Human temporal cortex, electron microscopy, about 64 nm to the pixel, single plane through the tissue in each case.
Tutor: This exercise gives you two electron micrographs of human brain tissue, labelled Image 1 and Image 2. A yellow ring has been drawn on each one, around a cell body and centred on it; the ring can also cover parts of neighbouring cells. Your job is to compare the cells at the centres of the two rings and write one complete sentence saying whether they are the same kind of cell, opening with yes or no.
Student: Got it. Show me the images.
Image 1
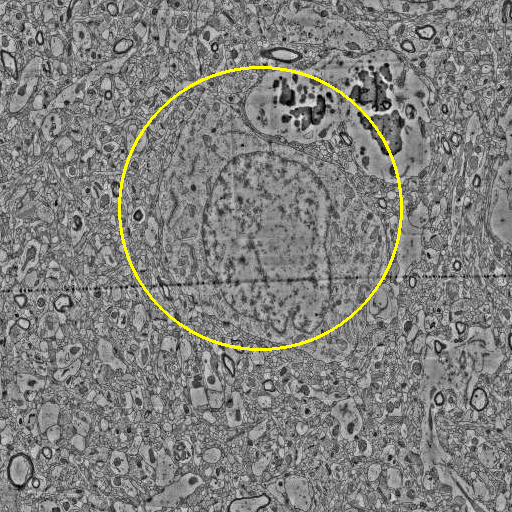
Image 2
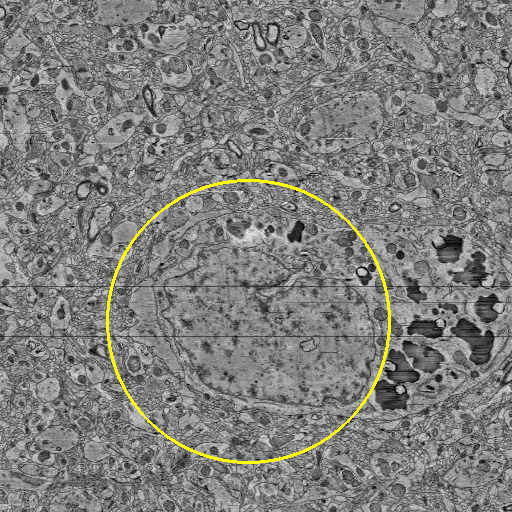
Yes, the two cells belong to the same kind.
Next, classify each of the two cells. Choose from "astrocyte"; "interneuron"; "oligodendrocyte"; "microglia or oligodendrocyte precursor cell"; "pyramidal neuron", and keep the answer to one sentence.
The first and the second cell are each an interneuron.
